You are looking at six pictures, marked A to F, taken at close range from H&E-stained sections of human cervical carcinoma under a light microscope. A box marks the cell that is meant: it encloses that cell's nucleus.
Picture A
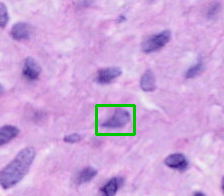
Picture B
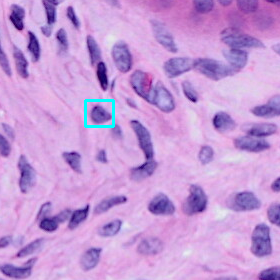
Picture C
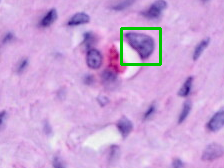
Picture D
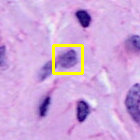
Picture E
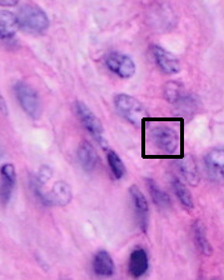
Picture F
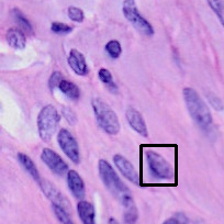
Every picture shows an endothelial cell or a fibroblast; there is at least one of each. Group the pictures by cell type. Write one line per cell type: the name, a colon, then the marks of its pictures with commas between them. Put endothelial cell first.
endothelial cell: C, E
fibroblast: A, B, D, F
